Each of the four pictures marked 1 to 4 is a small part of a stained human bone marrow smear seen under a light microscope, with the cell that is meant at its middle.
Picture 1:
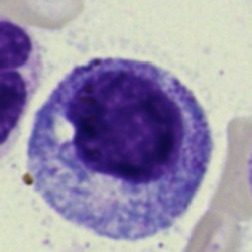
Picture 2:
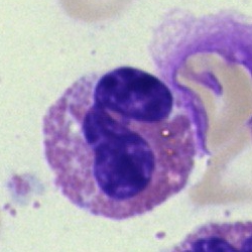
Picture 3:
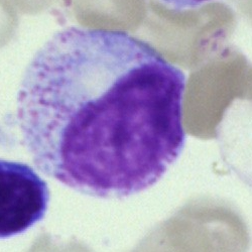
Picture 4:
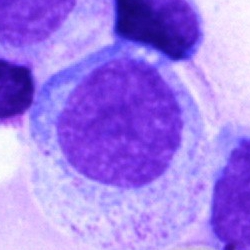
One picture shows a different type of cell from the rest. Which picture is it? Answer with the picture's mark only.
2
